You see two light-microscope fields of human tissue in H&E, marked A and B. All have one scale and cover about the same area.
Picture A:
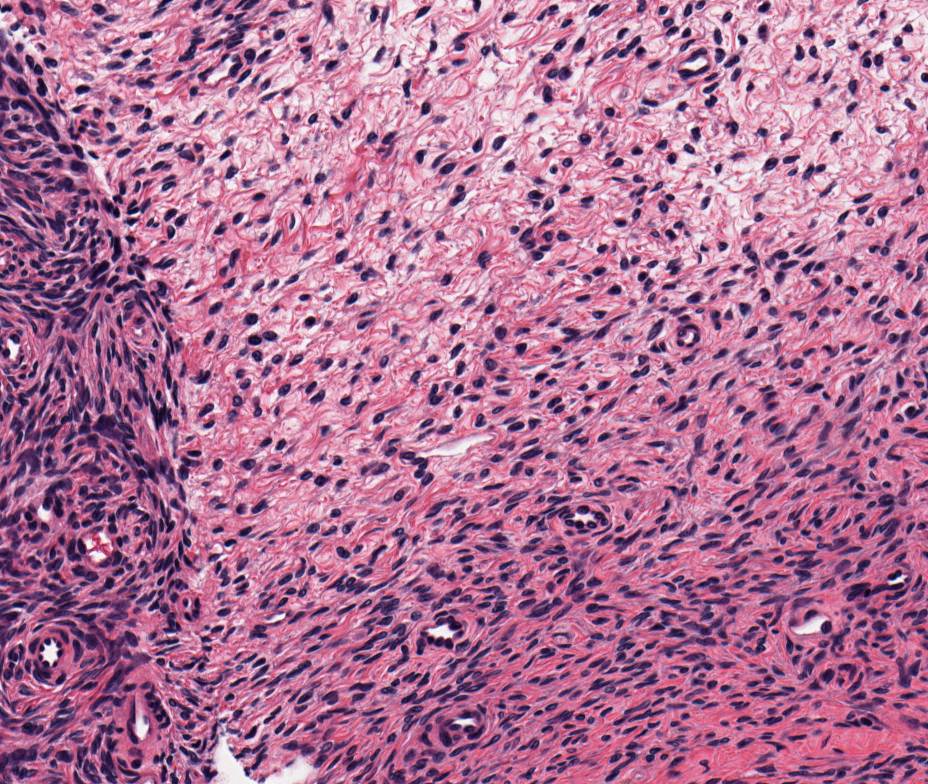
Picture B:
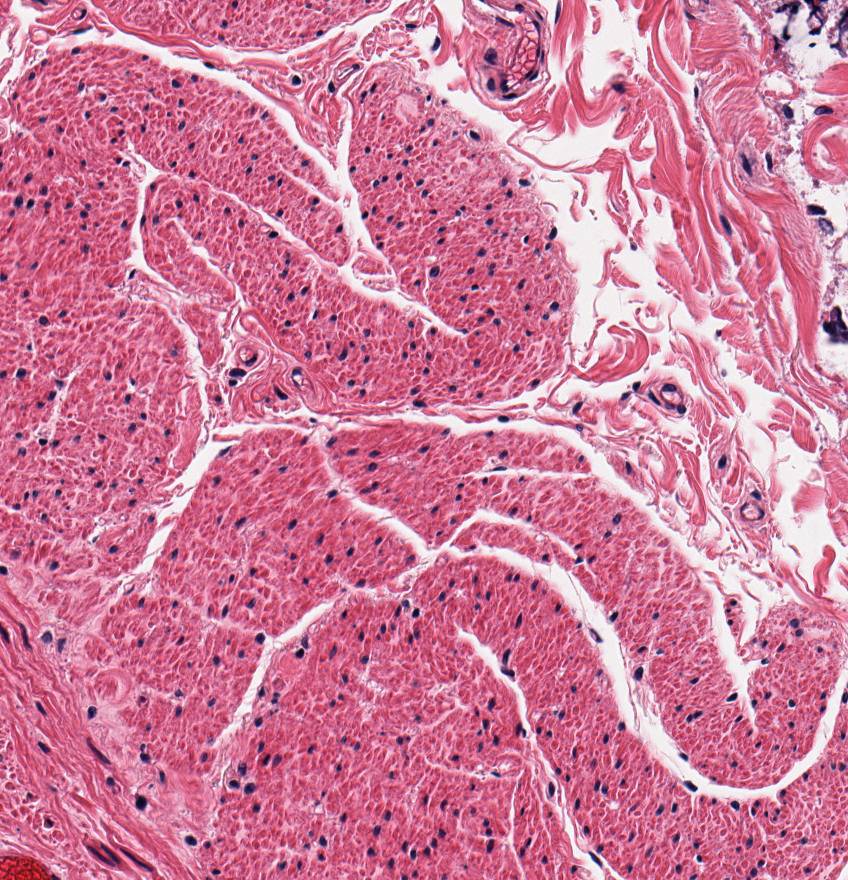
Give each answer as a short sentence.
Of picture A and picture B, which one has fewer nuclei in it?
It is picture B that has fewer nuclei in it.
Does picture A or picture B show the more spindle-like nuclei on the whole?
It is picture A whose nuclei are the more elongated.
